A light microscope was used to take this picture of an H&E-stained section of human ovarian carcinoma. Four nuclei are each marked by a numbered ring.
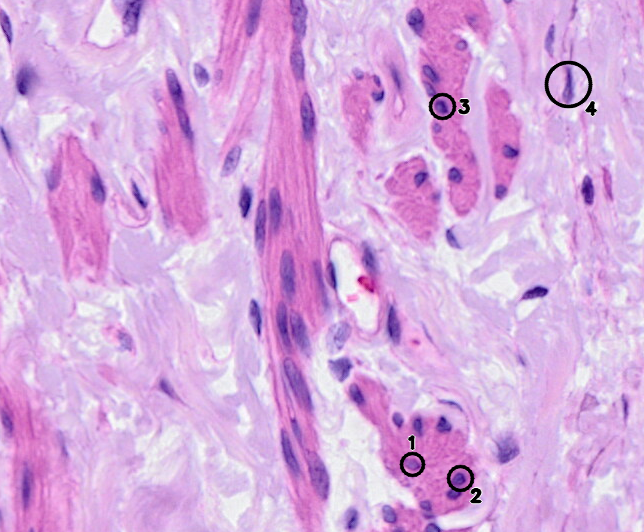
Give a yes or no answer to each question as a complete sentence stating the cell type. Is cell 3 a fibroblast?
No, the nucleus numbered 3 belongs to a smooth muscle cell, not a fibroblast.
